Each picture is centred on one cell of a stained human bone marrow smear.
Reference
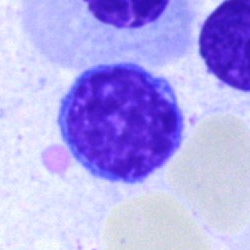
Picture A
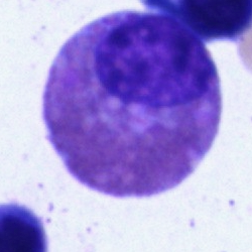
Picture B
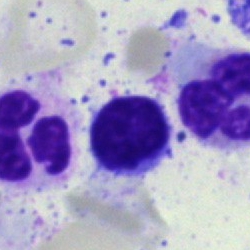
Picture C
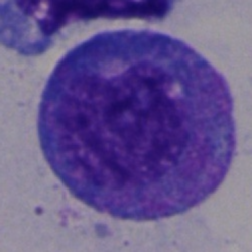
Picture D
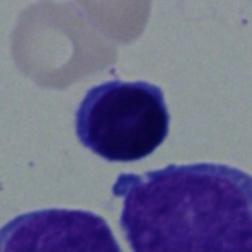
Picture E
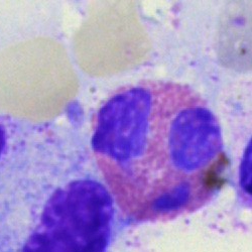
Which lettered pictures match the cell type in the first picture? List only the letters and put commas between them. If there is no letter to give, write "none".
B, D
